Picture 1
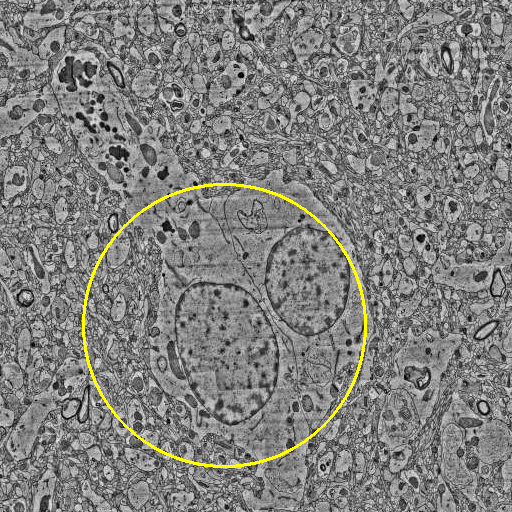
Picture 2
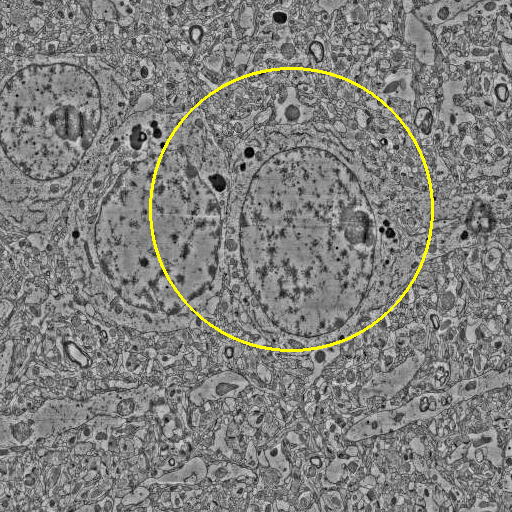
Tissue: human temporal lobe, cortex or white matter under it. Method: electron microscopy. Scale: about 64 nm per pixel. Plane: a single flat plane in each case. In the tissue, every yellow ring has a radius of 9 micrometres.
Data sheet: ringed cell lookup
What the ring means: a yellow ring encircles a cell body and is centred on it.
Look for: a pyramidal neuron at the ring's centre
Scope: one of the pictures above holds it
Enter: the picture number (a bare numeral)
2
